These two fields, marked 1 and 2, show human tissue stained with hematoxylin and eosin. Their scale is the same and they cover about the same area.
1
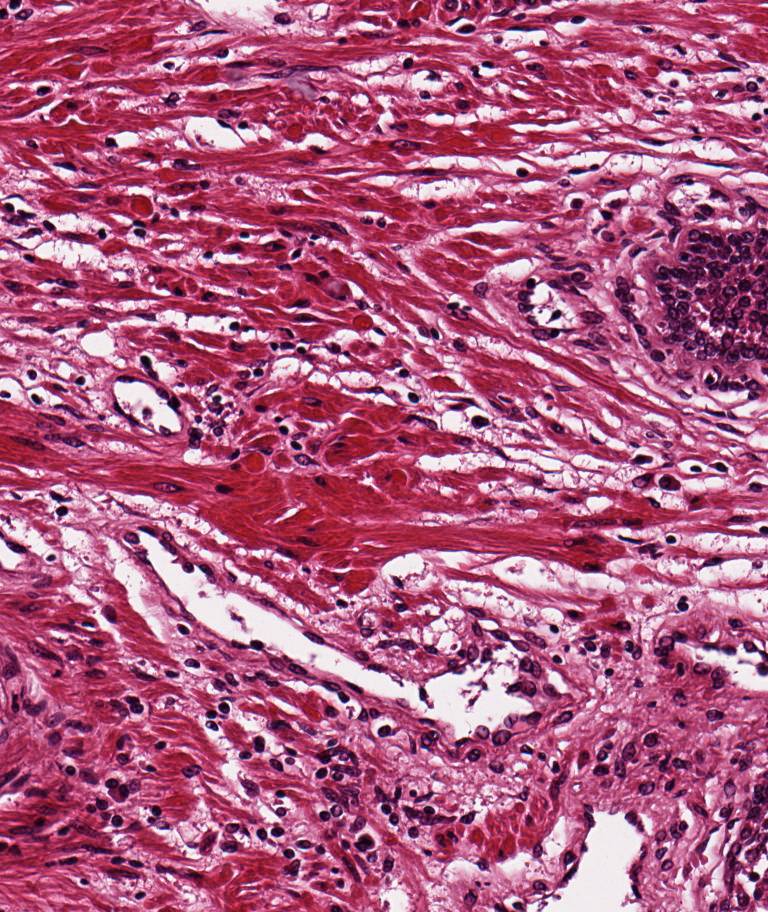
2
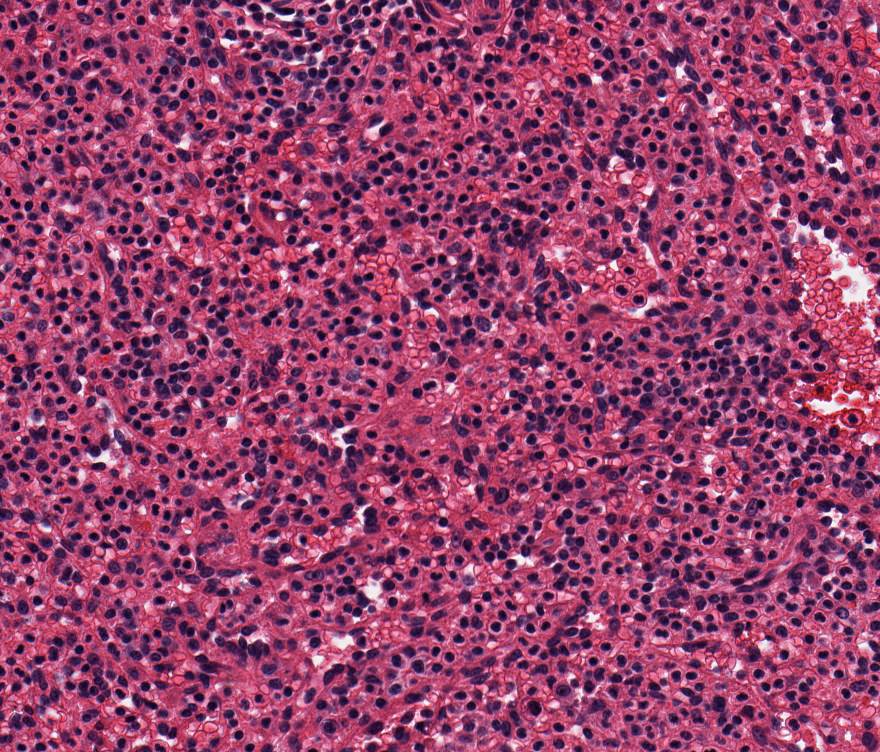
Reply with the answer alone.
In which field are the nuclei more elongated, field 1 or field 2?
1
